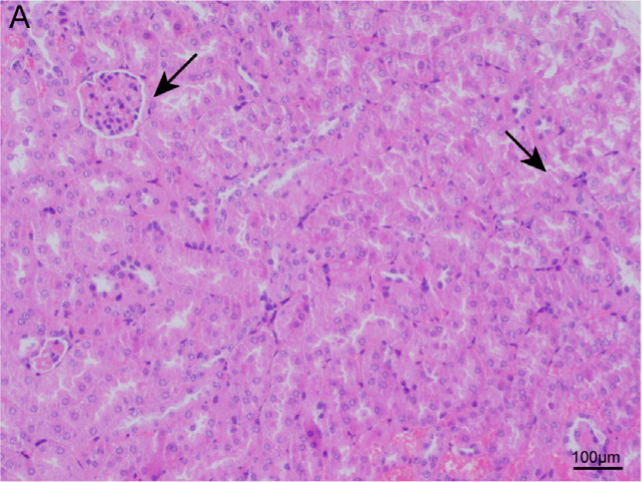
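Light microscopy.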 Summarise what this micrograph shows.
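This is kidney cortex. Renal tubules dominate the field and are cut in many planes. They are lined by cuboidal epithelial cells with pink cytoplasm and round, centrally placed nuclei. The tuft lies within a thin capsule, and a clear crescent of capsular space separates it from the capsule wall. Thin interstitial strands with darker elongated nuclei run between the tubules. A little red blood is seen near the lower edge.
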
